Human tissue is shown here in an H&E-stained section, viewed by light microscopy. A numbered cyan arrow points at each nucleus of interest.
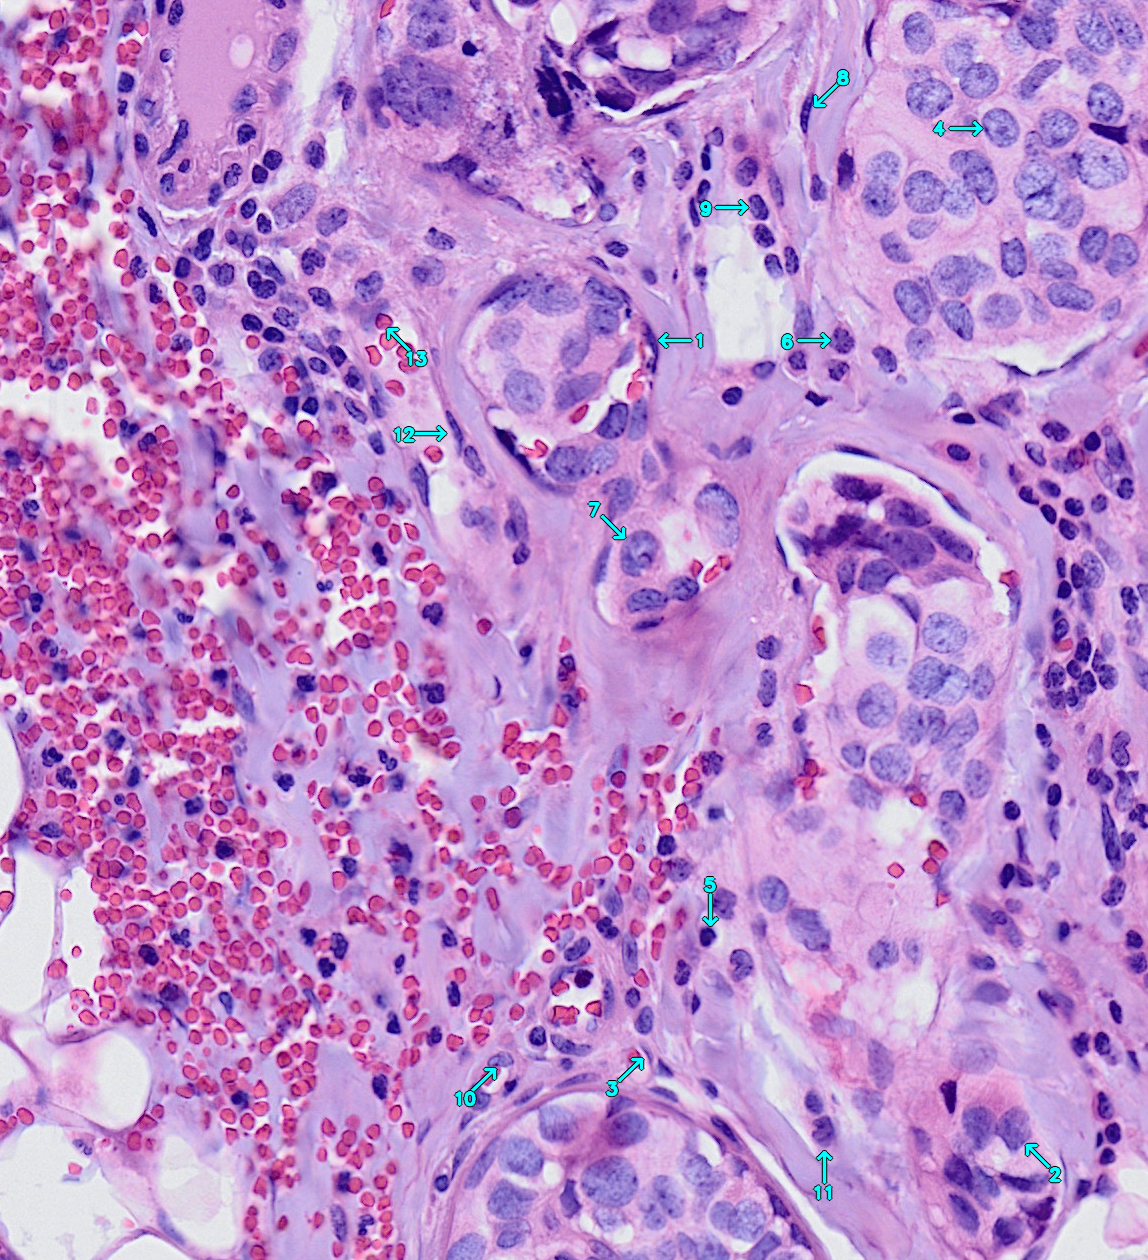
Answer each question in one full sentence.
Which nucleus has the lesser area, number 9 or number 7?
Nucleus 9 is the smaller one; nucleus 7 covers about 3 times its area.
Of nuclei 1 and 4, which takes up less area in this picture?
With nucleus 4 about 4 times its size, nucleus 1 is the smaller of the two.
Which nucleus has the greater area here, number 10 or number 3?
Nucleus 10 is the larger one, covering about 3 times the area of nucleus 3.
